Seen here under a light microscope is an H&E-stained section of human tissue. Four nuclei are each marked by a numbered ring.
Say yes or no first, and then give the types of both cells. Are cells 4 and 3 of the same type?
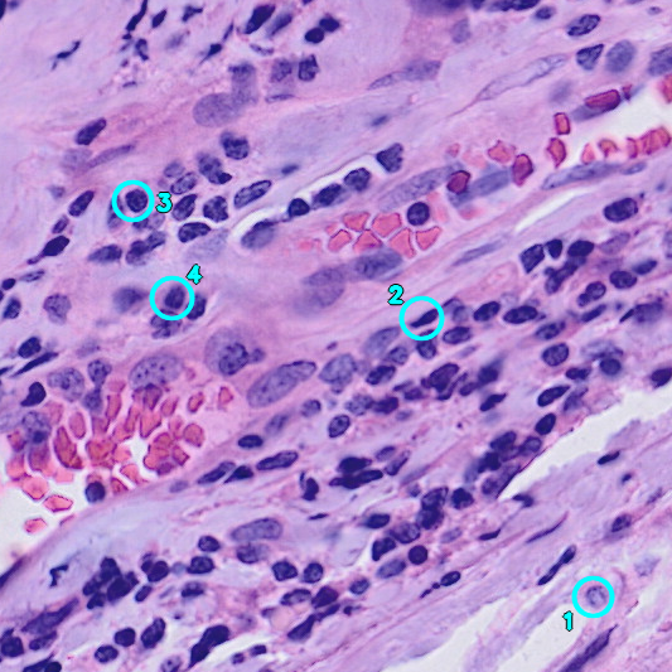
Yes, cell 4 is among the lymphocytes, and cell 3 is as well.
